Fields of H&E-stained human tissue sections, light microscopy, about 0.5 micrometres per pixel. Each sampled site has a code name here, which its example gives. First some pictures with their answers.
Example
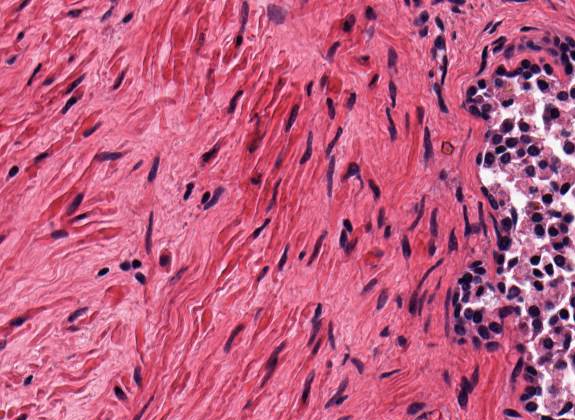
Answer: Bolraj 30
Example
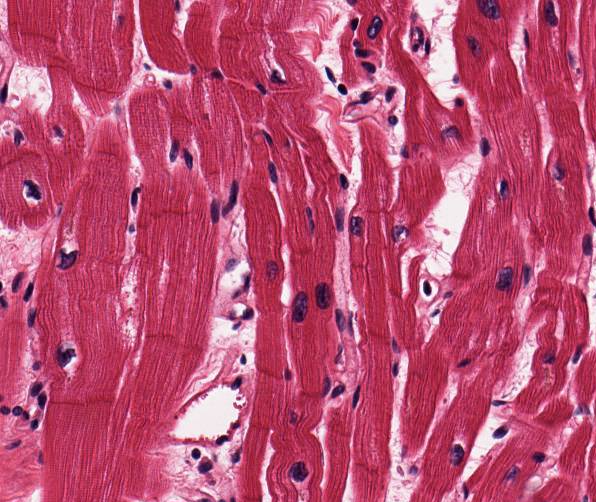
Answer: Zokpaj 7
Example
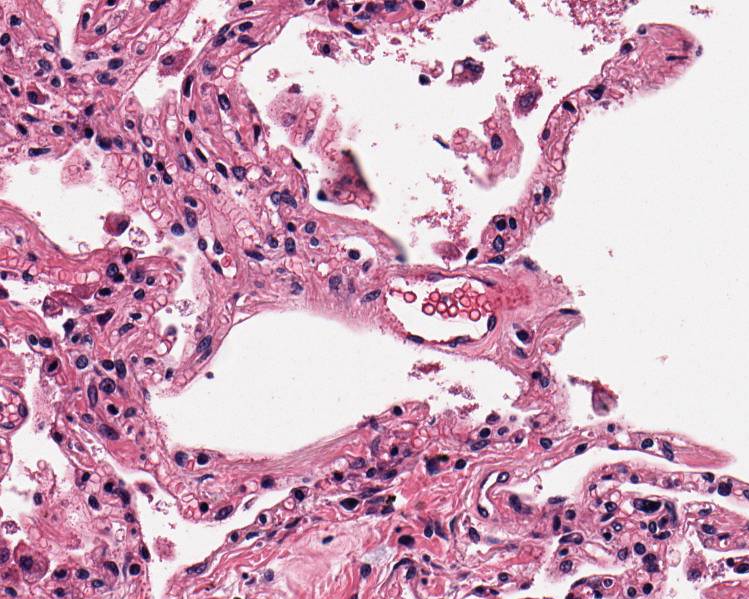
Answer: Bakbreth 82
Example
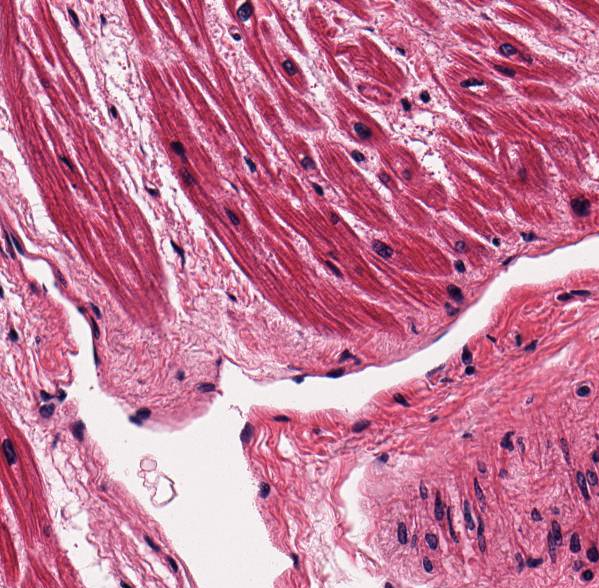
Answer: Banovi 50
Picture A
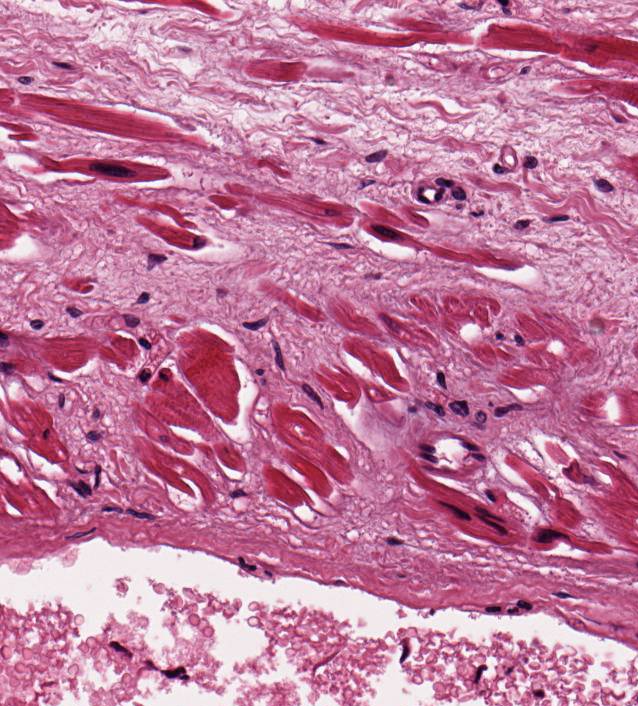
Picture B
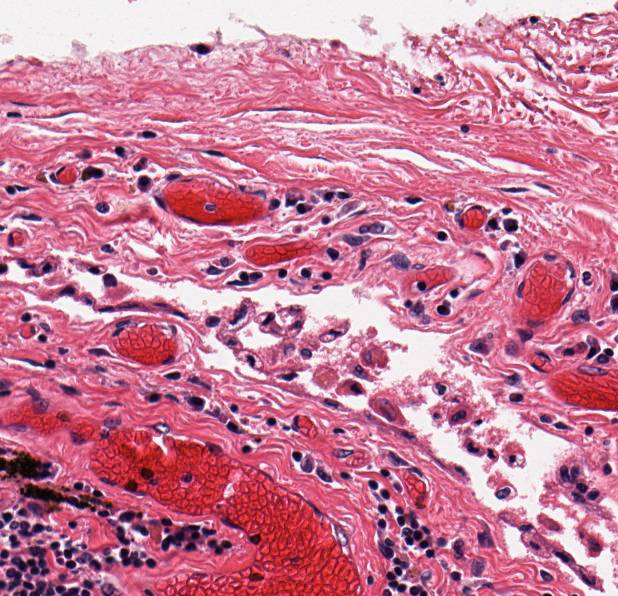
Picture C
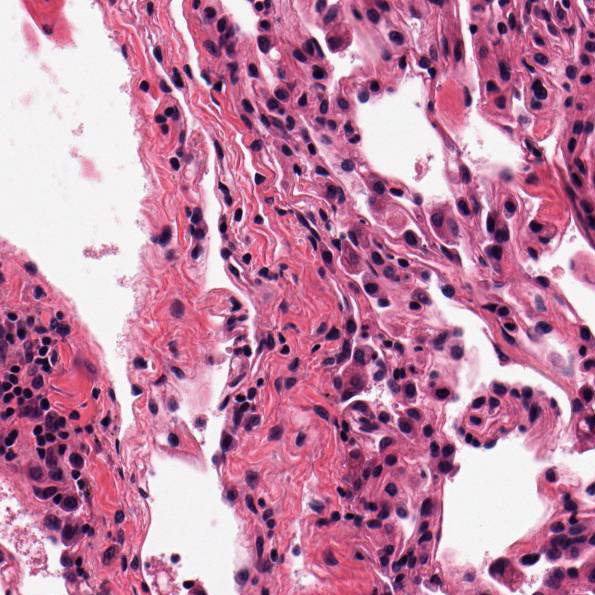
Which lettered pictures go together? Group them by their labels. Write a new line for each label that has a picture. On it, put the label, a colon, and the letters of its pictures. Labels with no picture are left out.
Bakbreth 82: B, C
Banovi 50: A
